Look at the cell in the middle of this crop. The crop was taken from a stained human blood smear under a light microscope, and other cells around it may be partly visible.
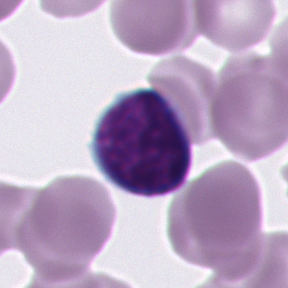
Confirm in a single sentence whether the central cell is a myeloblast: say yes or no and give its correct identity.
No, not a myeloblast: the cell in the middle of this crop is a typical lymphocyte.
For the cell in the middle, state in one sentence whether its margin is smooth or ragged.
Its surface contour is regular and smooth, without any protrusions.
